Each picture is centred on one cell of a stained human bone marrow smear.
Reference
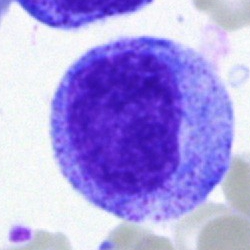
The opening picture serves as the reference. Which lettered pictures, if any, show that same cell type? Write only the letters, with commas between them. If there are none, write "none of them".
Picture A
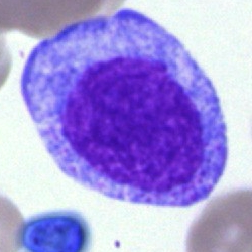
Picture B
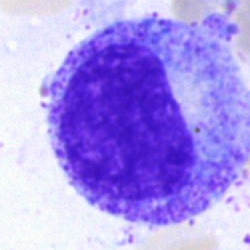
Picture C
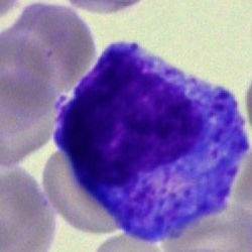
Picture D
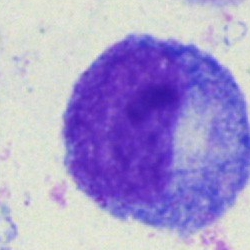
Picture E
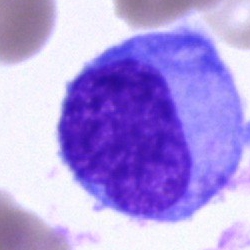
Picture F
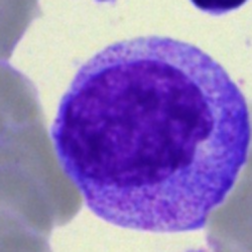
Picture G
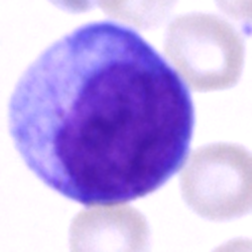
A, B, C, D, F, G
